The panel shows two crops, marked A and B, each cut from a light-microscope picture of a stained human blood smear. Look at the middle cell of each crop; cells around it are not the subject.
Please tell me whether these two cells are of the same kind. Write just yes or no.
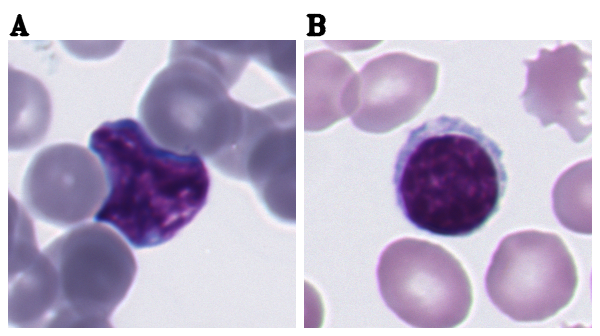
yes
